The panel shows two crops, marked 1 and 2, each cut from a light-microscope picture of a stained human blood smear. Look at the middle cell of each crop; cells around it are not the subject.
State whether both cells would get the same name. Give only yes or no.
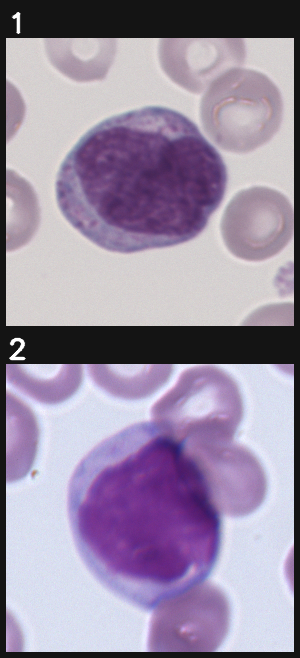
no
